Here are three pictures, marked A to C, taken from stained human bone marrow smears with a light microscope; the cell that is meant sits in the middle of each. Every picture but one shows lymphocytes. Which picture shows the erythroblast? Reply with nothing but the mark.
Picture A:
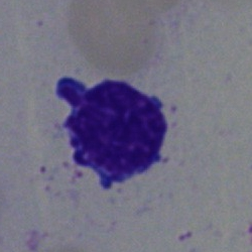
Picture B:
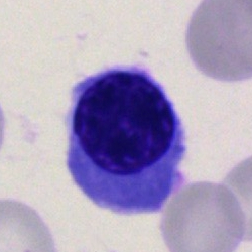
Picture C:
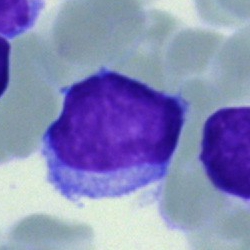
B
